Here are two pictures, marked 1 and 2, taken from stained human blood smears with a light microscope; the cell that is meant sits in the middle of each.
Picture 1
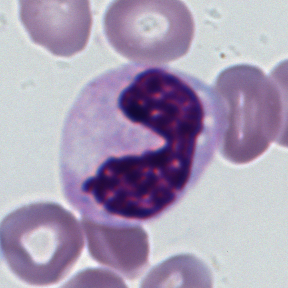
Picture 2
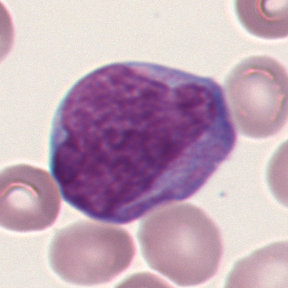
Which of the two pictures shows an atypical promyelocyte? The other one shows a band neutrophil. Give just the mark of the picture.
2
